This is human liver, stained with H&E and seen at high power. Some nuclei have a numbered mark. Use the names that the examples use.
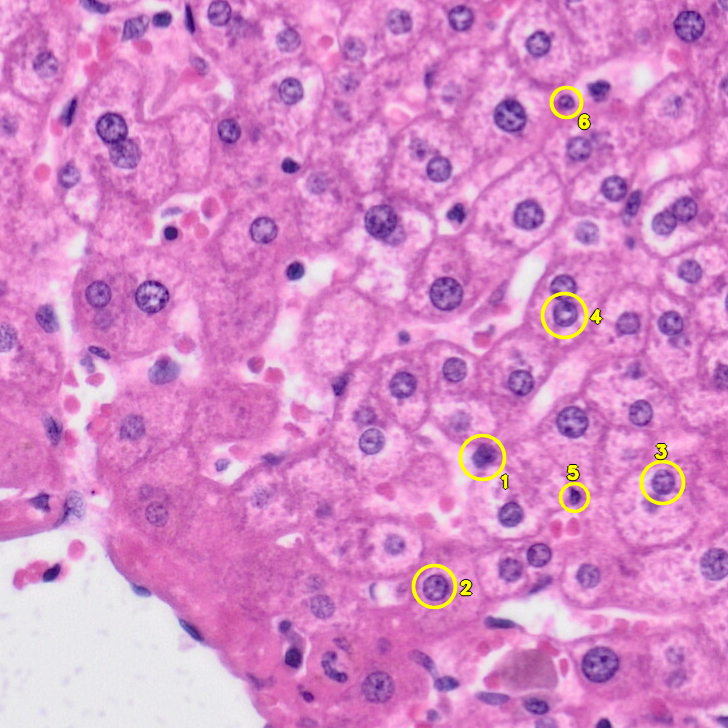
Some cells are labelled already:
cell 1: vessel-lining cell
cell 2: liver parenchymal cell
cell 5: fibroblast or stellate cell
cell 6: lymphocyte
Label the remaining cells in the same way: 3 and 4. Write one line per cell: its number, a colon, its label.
3: liver parenchymal cell
4: liver parenchymal cell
